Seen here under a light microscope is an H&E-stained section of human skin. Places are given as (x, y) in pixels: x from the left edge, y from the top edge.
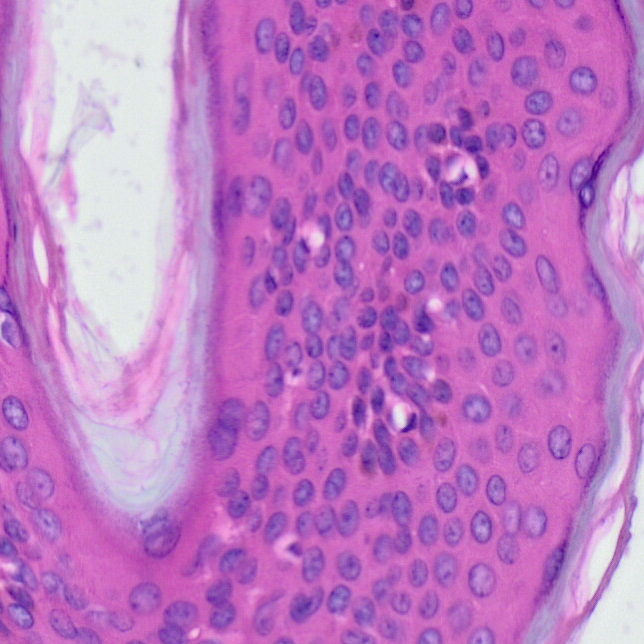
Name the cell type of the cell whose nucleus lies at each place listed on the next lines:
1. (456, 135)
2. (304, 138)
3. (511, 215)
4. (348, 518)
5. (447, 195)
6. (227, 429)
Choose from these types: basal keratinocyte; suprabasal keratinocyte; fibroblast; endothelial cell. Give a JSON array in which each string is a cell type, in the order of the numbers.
["basal keratinocyte", "suprabasal keratinocyte", "suprabasal keratinocyte", "suprabasal keratinocyte", "basal keratinocyte", "suprabasal keratinocyte"]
